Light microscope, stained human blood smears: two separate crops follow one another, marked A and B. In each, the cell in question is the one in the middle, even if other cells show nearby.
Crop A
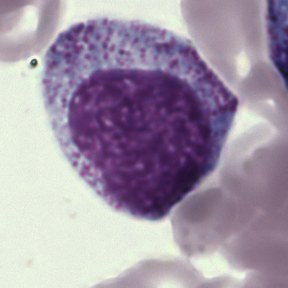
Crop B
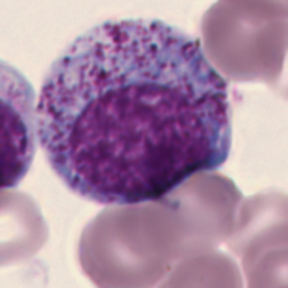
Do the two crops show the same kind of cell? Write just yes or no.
yes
